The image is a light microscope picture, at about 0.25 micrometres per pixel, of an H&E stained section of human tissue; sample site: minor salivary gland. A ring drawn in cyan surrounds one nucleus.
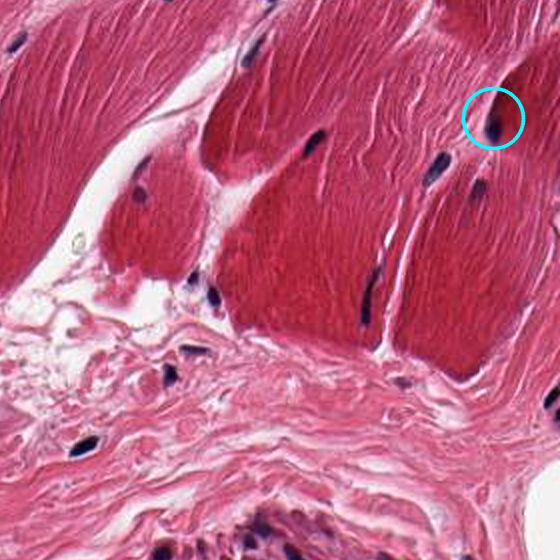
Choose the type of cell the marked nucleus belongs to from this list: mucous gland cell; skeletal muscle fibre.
skeletal muscle fibre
